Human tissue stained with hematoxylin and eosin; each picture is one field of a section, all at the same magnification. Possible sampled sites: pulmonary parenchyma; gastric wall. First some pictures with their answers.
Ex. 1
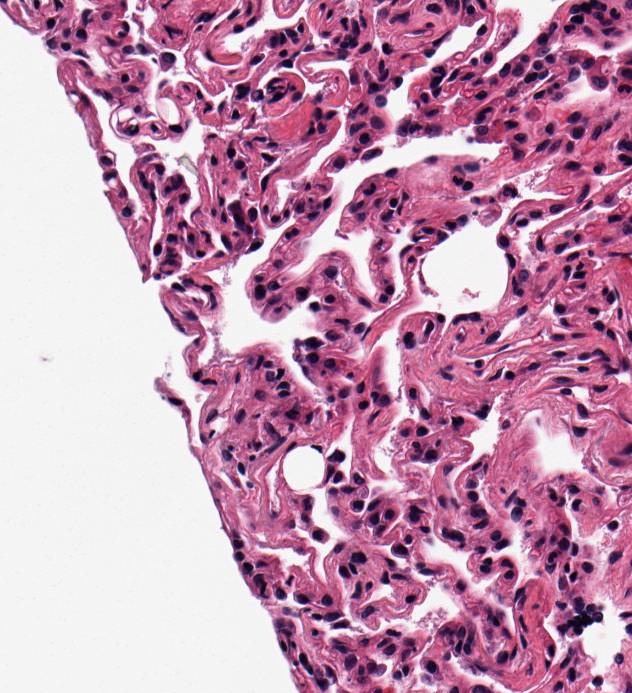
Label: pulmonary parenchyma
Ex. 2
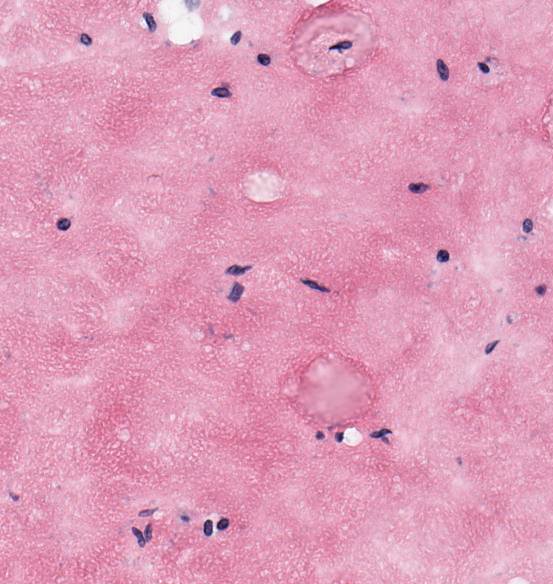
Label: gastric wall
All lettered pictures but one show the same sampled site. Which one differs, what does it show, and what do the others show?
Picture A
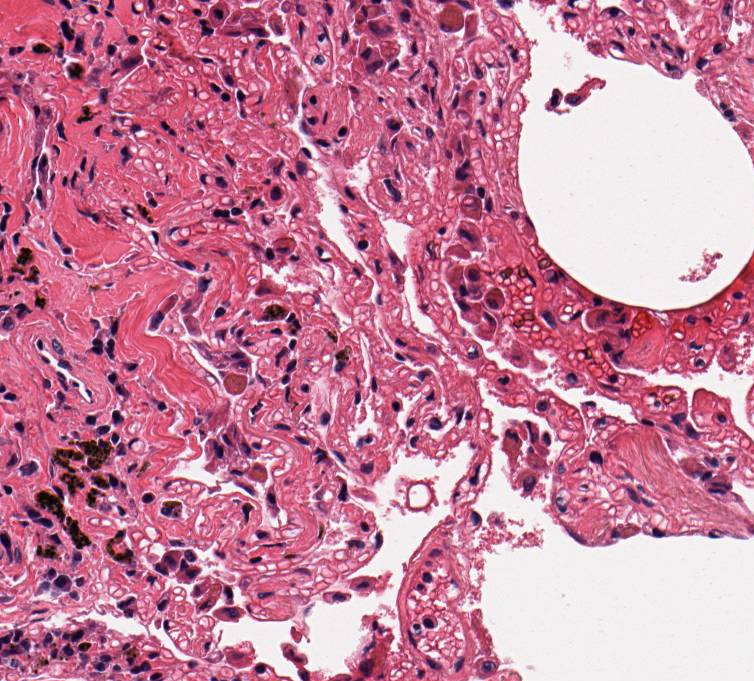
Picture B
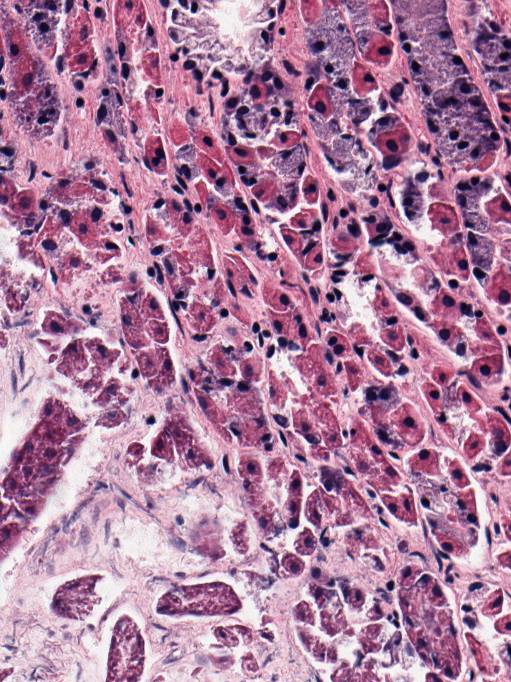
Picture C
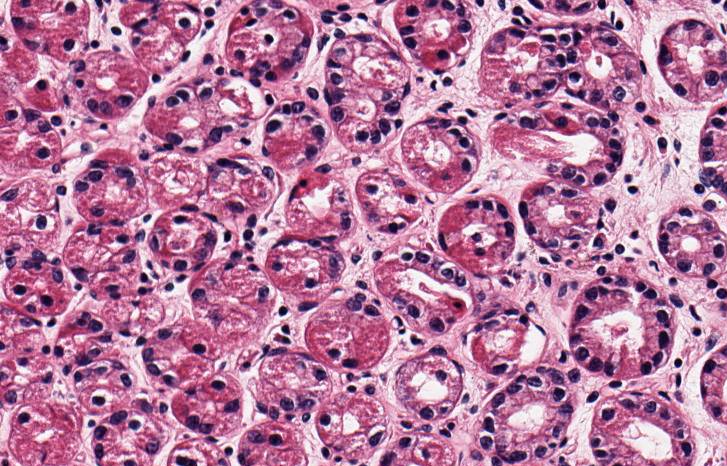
Odd one out: A (pulmonary parenchyma). The rest: gastric wall.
